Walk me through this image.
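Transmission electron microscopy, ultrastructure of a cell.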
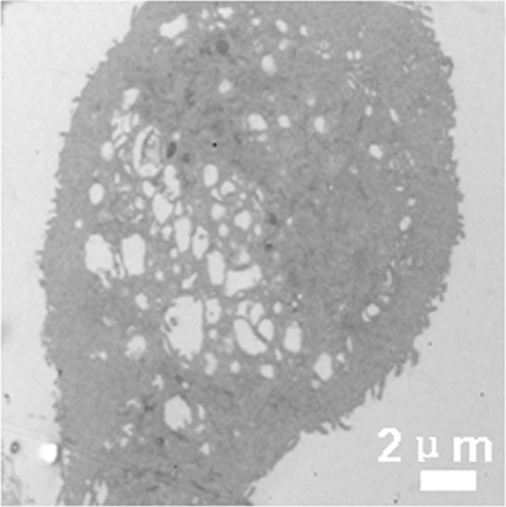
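A large cell in section is seen whose cytoplasm is riddled with many clear, pale, rounded and irregular spaces of varied size, crowded toward the centre. The surrounding cytoplasm is grey and granular, and the cell edge still bears short projections in places. These many empty-looking spaces give the cell a markedly vacuolated, swollen appearance, in keeping with strongly swollen organelles such as mitochondria.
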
